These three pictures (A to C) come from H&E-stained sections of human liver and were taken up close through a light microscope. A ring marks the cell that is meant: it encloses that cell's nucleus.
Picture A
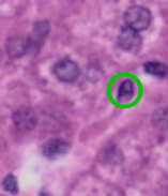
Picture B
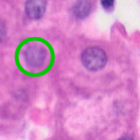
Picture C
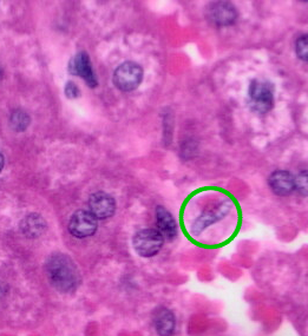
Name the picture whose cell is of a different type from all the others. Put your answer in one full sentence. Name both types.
Picture B differs, because its cell is a hepatocyte and the rest are Kupffer cells.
